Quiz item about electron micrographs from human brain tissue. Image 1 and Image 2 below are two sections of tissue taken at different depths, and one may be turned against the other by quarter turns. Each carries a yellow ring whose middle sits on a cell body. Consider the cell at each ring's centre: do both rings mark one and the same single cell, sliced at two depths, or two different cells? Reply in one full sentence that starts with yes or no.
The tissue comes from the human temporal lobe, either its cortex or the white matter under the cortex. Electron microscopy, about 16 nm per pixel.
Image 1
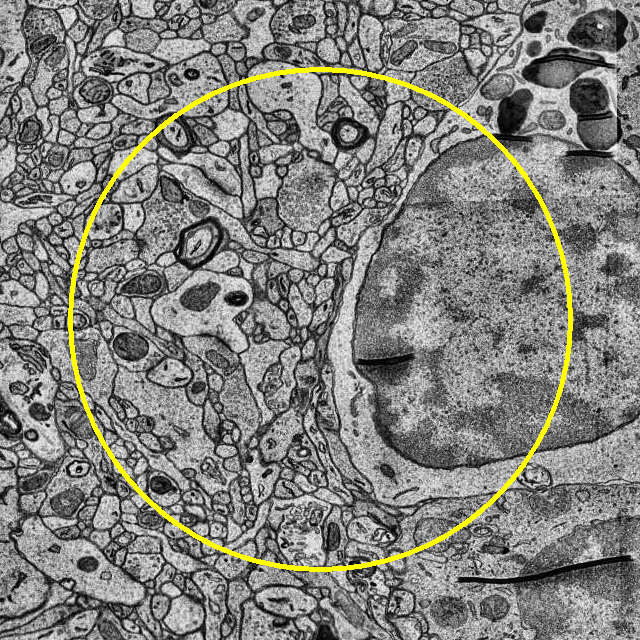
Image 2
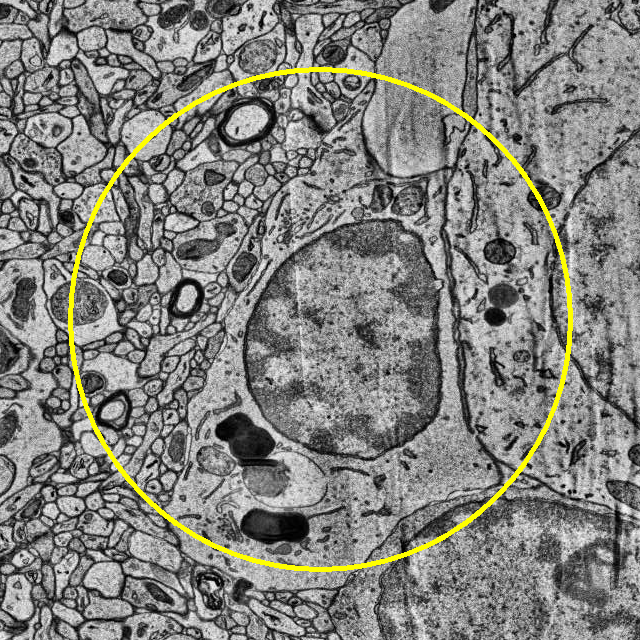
Yes, the two rings belong to one cell, not to two.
